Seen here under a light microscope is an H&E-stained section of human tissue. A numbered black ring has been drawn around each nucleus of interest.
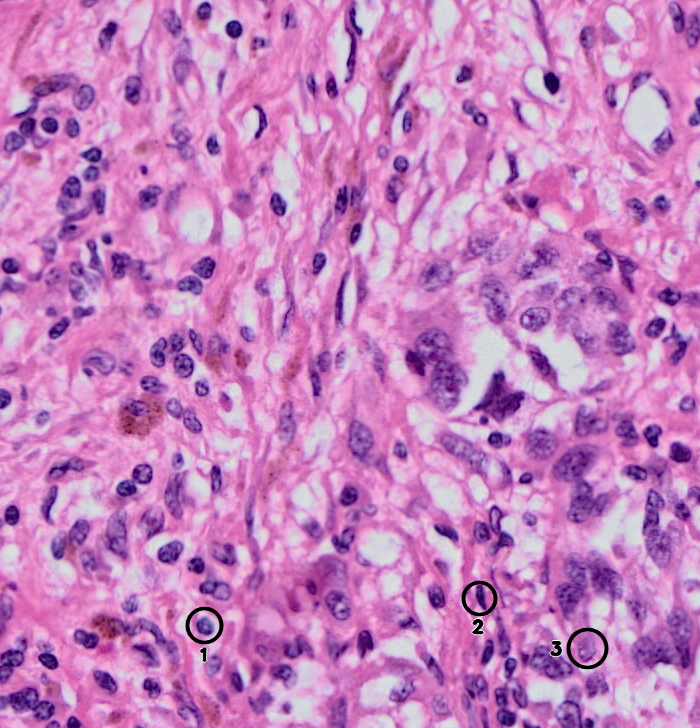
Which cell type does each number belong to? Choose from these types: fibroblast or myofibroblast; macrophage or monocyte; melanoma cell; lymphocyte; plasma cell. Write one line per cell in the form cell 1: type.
cell 1: lymphocyte
cell 2: lymphocyte
cell 3: melanoma cell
